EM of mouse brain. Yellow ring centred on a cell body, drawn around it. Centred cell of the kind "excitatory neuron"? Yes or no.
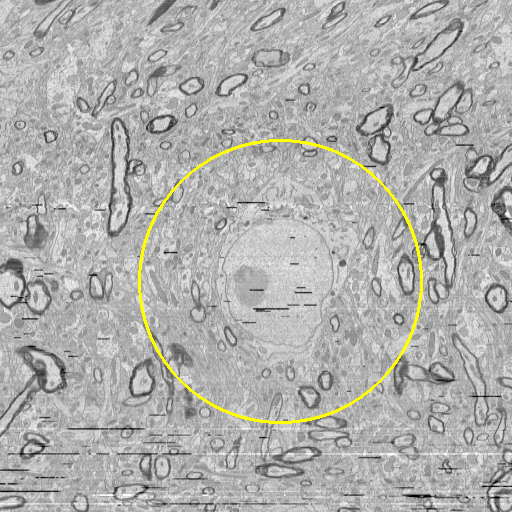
yes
